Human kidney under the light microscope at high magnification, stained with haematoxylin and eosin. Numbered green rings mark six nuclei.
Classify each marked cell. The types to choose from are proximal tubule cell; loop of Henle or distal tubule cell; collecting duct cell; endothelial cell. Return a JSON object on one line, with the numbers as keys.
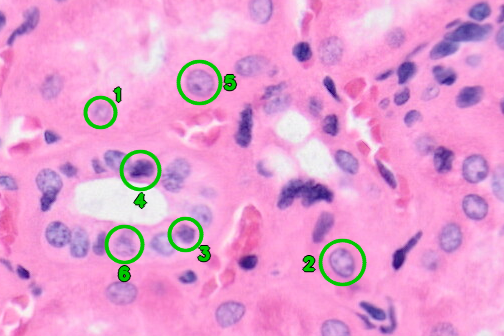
{"1": "proximal tubule cell", "2": "proximal tubule cell", "3": "collecting duct cell", "4": "collecting duct cell", "5": "proximal tubule cell", "6": "collecting duct cell"}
